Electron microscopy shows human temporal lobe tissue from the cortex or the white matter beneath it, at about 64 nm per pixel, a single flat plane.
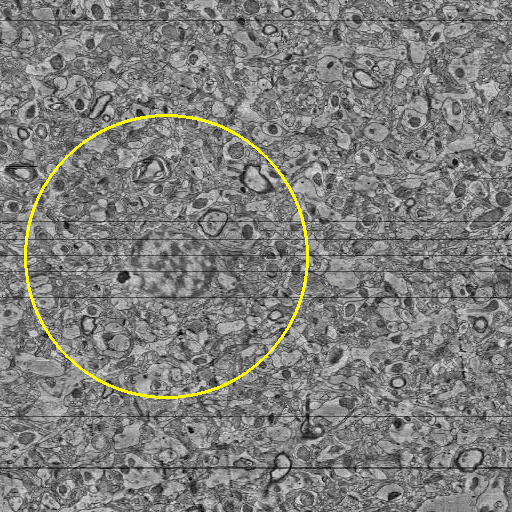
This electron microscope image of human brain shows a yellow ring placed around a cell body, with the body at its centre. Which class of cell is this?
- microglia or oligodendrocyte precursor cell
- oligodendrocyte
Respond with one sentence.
The cell body at the ring's centre is an oligodendrocyte.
